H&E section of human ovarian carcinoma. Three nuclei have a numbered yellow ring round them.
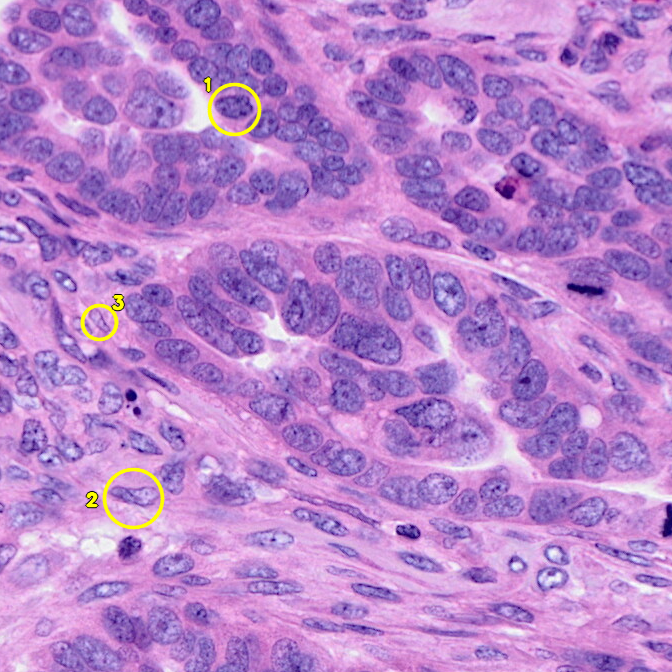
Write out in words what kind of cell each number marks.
Cell 1 is a carcinoma cell, cell 2 is a fibroblast and cell 3 is a fibroblast.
